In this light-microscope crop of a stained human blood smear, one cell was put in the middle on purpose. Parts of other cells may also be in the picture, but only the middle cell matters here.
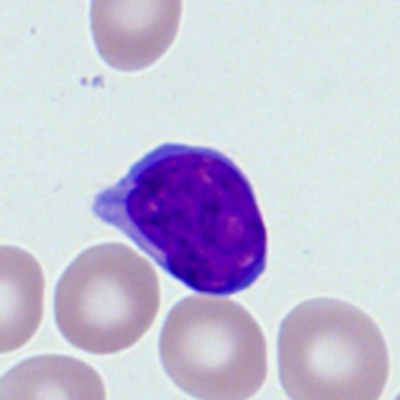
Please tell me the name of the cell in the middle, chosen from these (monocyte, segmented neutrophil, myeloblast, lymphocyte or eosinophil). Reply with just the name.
lymphocyte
